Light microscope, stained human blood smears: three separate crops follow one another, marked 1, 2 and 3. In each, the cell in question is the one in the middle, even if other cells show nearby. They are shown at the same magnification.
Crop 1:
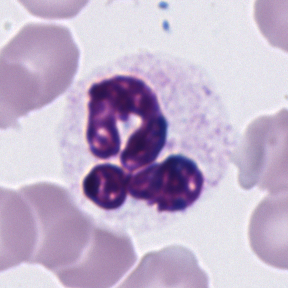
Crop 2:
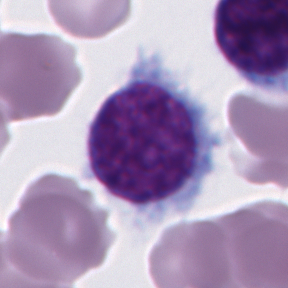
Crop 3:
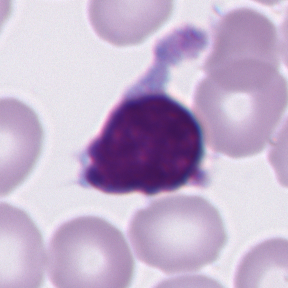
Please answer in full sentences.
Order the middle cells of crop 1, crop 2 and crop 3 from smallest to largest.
Smallest first: 3, 2, 1.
